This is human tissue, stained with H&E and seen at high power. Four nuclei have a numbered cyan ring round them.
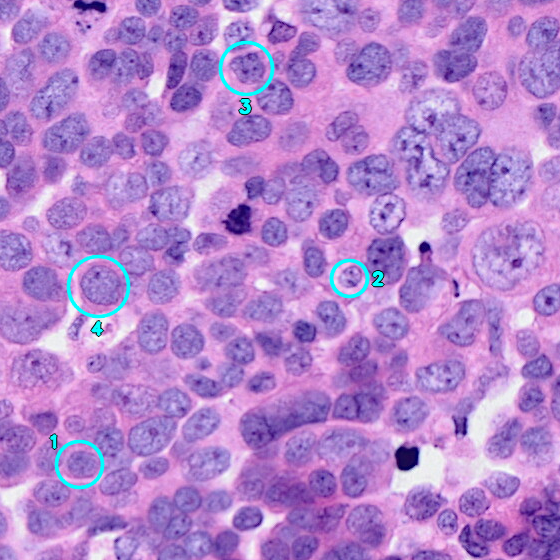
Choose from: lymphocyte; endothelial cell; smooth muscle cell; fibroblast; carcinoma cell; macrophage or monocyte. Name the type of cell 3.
carcinoma cell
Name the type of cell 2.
macrophage or monocyte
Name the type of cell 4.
carcinoma cell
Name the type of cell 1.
carcinoma cell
